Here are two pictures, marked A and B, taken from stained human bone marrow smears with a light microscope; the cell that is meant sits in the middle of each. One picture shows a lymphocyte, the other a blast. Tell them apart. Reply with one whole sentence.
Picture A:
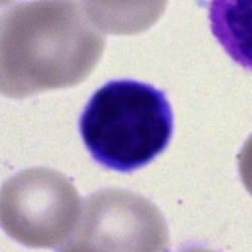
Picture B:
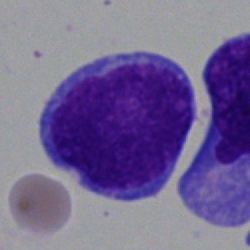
Picture B shows a blast, while picture A shows a lymphocyte.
